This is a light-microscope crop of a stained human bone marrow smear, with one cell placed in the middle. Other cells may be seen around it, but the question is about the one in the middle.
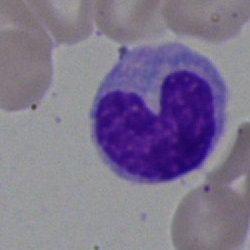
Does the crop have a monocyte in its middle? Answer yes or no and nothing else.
no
